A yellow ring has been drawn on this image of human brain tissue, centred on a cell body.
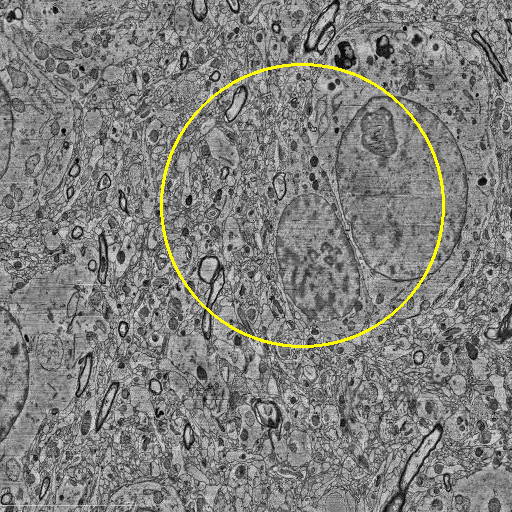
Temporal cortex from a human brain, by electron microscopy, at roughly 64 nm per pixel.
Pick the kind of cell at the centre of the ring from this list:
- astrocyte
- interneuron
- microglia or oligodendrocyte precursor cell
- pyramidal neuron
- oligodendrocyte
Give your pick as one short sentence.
The centre of the ring holds an oligodendrocyte.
